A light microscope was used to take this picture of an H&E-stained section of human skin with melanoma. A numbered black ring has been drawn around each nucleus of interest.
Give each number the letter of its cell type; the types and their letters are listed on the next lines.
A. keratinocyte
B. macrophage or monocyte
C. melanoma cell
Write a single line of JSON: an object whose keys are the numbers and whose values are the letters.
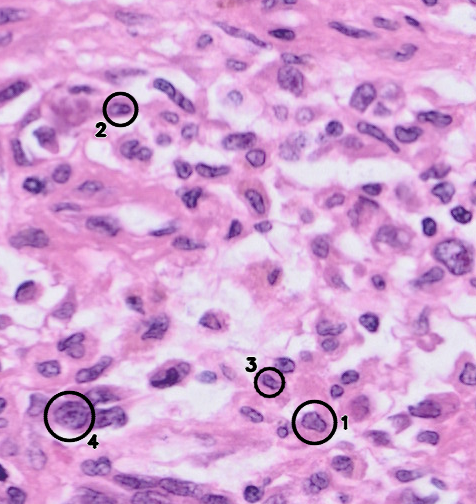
{"1": "B", "2": "B", "3": "B", "4": "C"}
